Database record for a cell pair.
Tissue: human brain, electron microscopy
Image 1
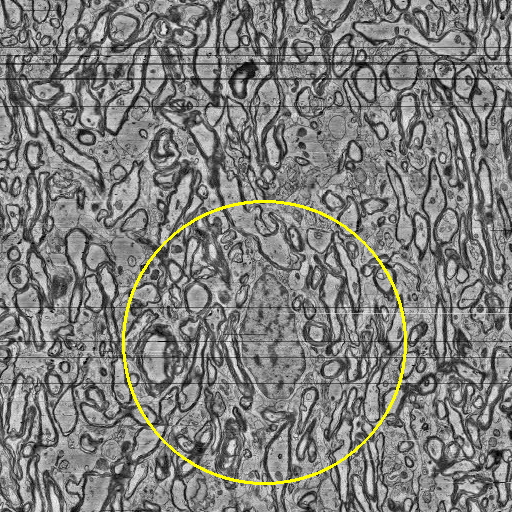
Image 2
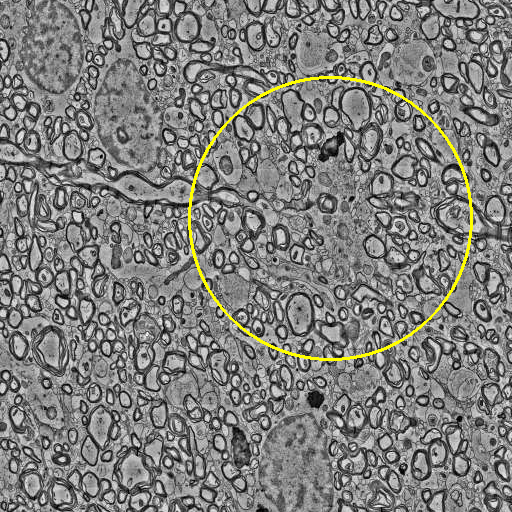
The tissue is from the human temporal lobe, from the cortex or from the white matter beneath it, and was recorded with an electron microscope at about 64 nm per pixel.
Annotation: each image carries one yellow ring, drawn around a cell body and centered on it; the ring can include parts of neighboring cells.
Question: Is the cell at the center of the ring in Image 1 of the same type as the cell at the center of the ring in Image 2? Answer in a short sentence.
No, the cells are of two types.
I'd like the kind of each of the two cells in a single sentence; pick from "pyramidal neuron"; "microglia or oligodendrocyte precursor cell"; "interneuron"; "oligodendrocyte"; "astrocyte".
The first ring marks a microglial cell or oligodendrocyte precursor cell, and the second ring marks an oligodendrocyte.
